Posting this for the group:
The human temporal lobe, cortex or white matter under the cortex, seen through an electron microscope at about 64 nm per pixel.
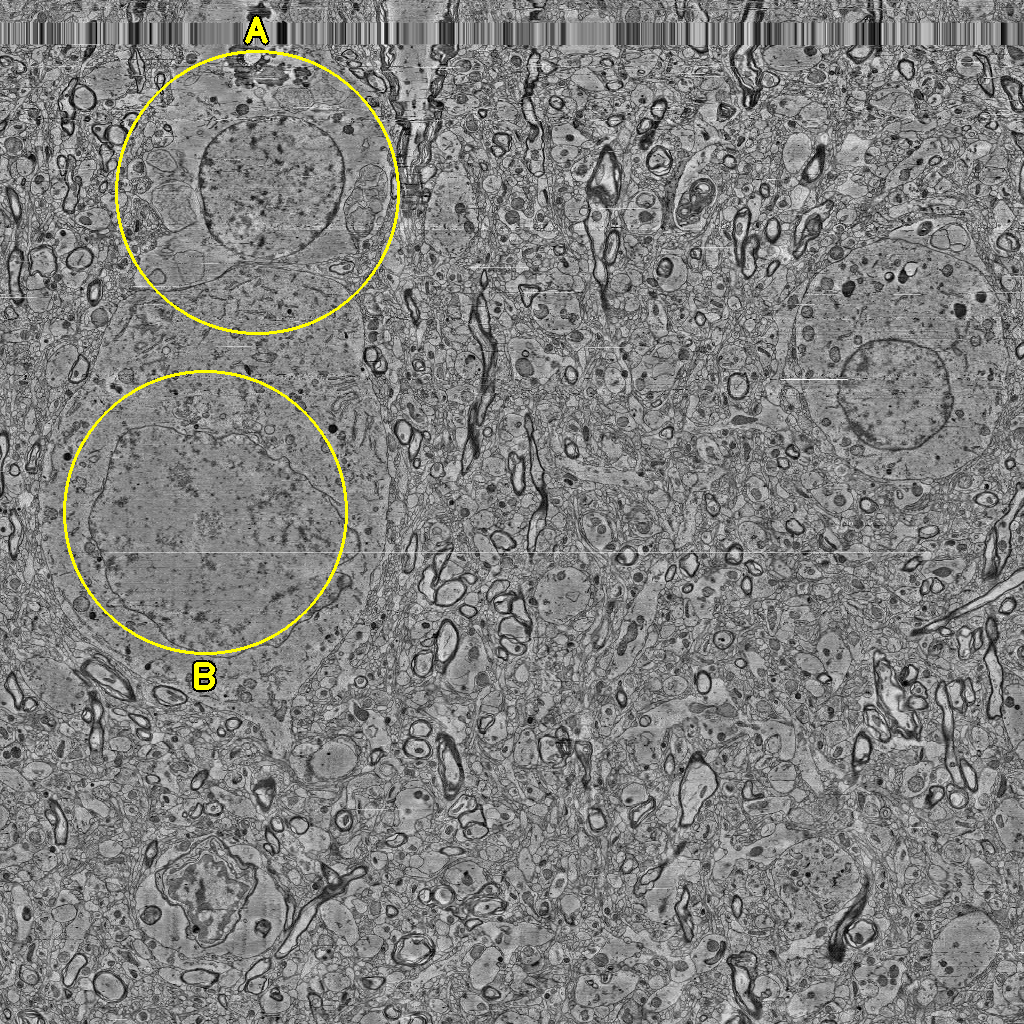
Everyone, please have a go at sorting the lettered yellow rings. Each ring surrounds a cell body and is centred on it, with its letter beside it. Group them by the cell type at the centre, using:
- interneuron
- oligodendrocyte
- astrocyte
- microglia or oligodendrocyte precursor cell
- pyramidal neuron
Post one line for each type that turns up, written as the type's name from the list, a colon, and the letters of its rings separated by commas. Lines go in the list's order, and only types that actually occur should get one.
astrocyte: A
pyramidal neuron: B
